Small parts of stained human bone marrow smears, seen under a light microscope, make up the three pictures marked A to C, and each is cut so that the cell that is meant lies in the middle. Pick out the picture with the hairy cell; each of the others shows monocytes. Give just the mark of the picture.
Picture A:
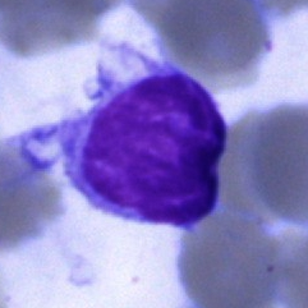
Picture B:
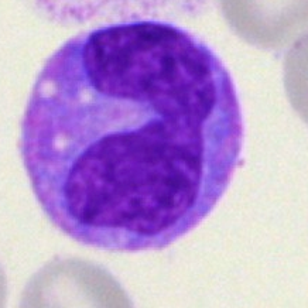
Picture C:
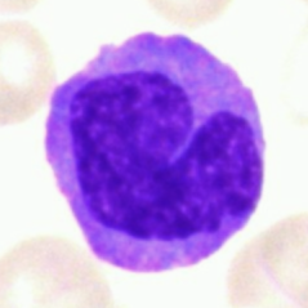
A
